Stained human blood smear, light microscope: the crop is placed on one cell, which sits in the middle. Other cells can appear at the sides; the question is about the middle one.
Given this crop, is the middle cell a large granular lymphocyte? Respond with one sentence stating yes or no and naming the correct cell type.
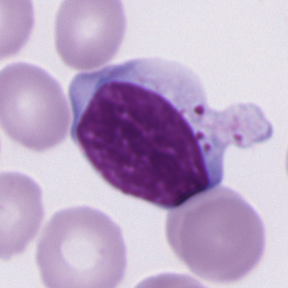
Yes, what sits in the middle of the crop is a large granular lymphocyte.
